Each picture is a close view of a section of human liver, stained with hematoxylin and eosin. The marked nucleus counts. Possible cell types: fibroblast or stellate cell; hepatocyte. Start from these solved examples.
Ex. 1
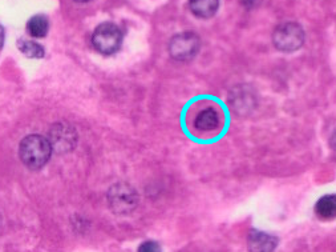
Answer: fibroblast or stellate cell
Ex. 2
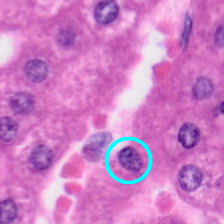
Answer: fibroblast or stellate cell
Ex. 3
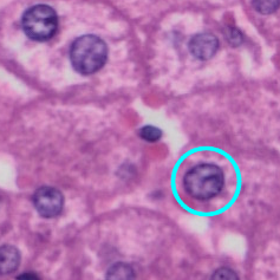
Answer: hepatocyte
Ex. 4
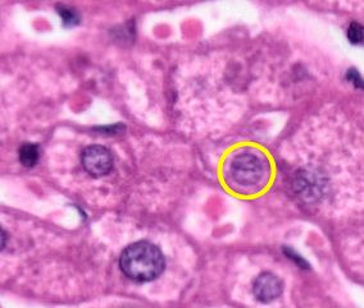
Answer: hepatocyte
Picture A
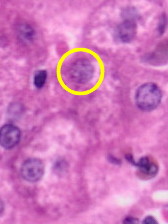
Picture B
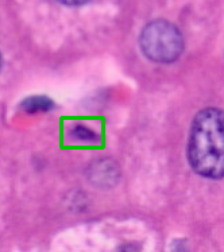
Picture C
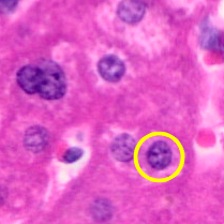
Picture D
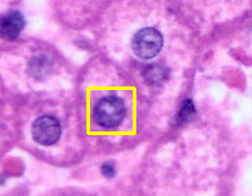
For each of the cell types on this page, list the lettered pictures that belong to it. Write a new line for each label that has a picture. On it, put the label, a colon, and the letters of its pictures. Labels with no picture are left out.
fibroblast or stellate cell: B
hepatocyte: A, C, D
